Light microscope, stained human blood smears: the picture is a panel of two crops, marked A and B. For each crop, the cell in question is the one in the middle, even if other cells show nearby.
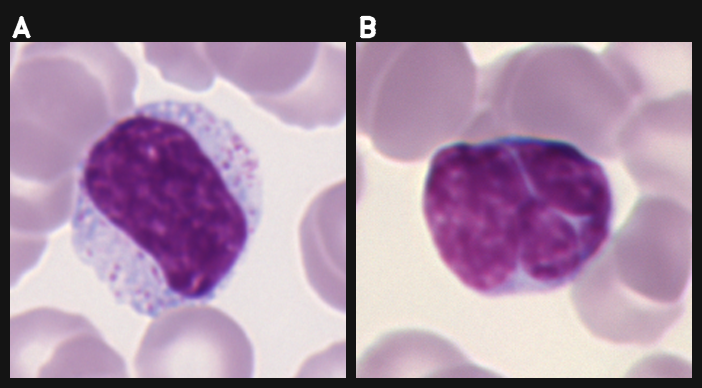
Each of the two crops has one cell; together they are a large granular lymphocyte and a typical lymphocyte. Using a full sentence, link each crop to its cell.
Crop A shows a large granular lymphocyte, whereas crop B shows a typical lymphocyte.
